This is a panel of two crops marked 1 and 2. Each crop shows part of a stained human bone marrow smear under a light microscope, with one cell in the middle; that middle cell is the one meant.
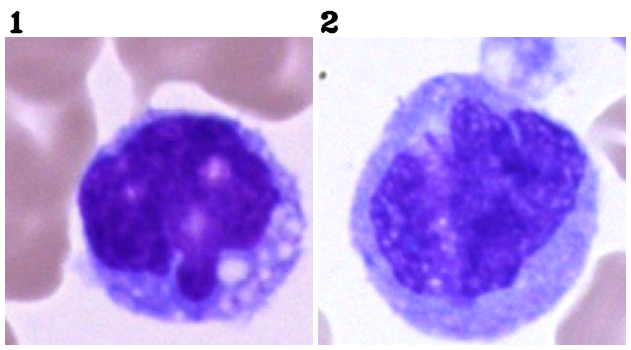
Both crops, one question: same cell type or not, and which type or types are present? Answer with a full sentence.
Yes, what both crops show at their centres are monocytes.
